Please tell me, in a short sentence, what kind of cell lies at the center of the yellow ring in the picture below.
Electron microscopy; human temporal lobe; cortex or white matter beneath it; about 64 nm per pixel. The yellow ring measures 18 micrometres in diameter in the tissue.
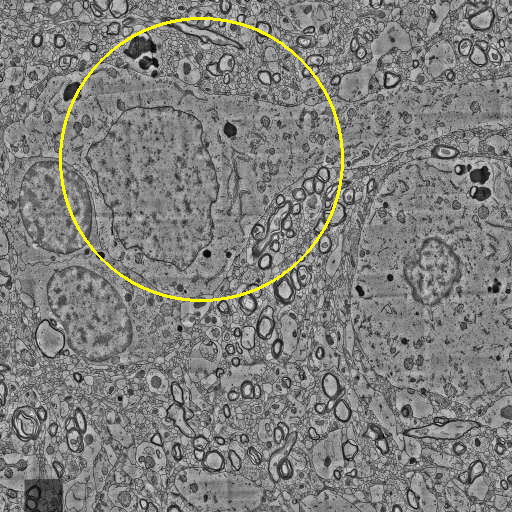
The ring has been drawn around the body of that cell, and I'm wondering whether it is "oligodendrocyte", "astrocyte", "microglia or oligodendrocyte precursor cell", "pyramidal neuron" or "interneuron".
The cell at the center of the ring is a pyramidal neuron.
